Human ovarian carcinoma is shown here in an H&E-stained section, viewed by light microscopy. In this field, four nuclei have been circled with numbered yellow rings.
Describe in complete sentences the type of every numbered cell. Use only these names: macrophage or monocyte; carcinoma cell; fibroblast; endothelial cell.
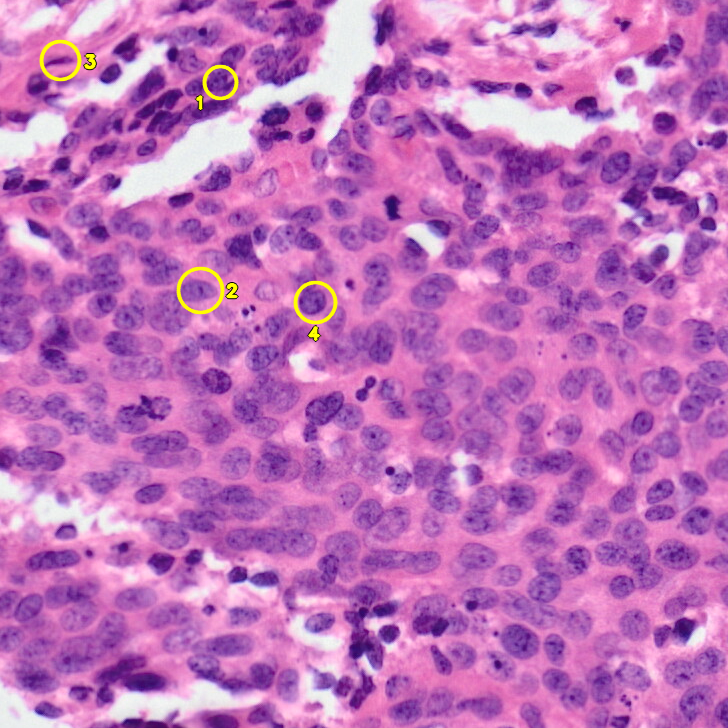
Cell 1 is a carcinoma cell, cell 2 is a carcinoma cell, cell 3 is a fibroblast and cell 4 is a carcinoma cell.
